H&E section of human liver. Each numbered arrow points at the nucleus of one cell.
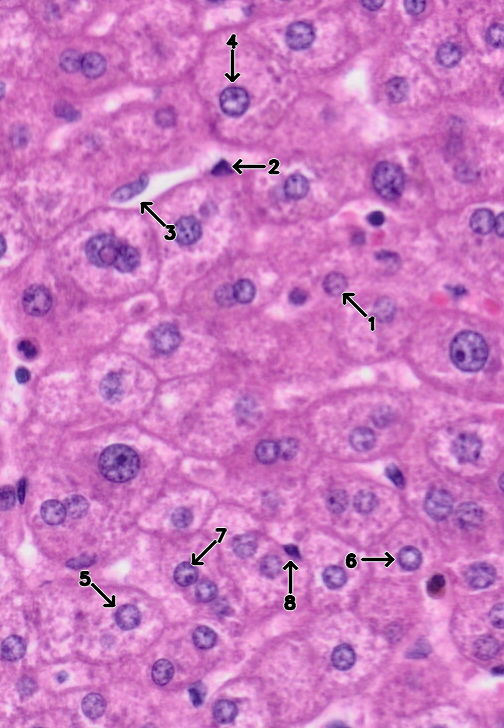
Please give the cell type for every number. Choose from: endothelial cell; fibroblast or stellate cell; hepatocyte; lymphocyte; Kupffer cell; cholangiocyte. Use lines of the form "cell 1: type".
cell 1: hepatocyte
cell 2: endothelial cell
cell 3: Kupffer cell
cell 4: hepatocyte
cell 5: hepatocyte
cell 6: hepatocyte
cell 7: hepatocyte
cell 8: fibroblast or stellate cell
